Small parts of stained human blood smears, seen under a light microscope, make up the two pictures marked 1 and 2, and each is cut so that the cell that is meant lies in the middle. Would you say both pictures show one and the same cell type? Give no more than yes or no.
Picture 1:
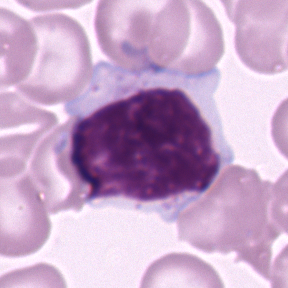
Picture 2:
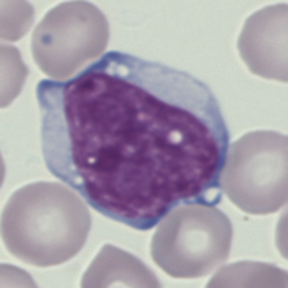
no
